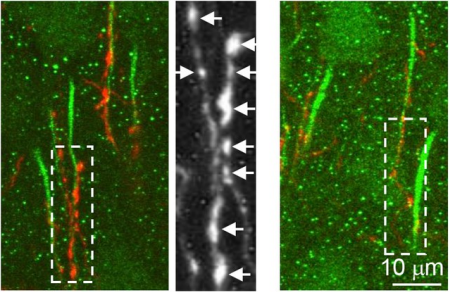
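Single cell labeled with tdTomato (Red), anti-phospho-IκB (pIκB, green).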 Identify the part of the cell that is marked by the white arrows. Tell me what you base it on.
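Arrows point to bright swellings along thin labeled axon strands. The swellings are spaced along the strands like beads. On this evidence: presynaptic boutons.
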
